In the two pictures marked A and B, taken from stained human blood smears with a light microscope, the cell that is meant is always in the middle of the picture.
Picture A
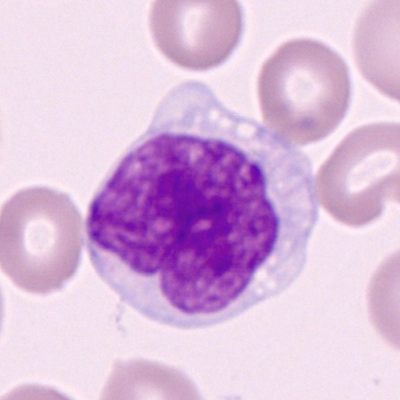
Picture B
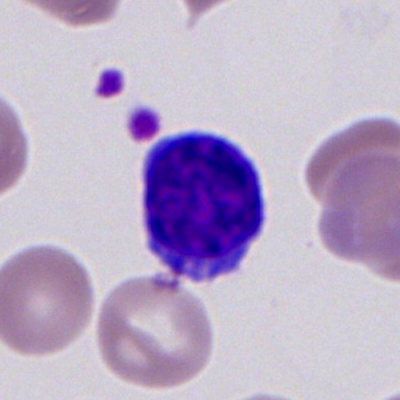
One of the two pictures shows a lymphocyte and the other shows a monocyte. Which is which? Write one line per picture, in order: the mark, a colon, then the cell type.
A: monocyte
B: lymphocyte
